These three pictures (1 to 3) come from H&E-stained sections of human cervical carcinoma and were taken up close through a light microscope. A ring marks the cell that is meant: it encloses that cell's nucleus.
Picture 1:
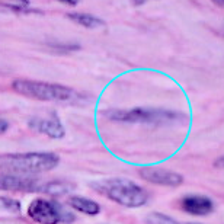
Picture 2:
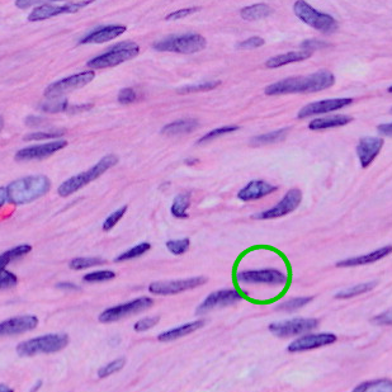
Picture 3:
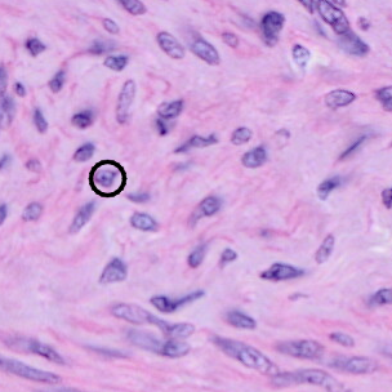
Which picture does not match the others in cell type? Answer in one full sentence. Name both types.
Picture 3 differs, because its cell is a smooth muscle cell and the rest are fibroblasts.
